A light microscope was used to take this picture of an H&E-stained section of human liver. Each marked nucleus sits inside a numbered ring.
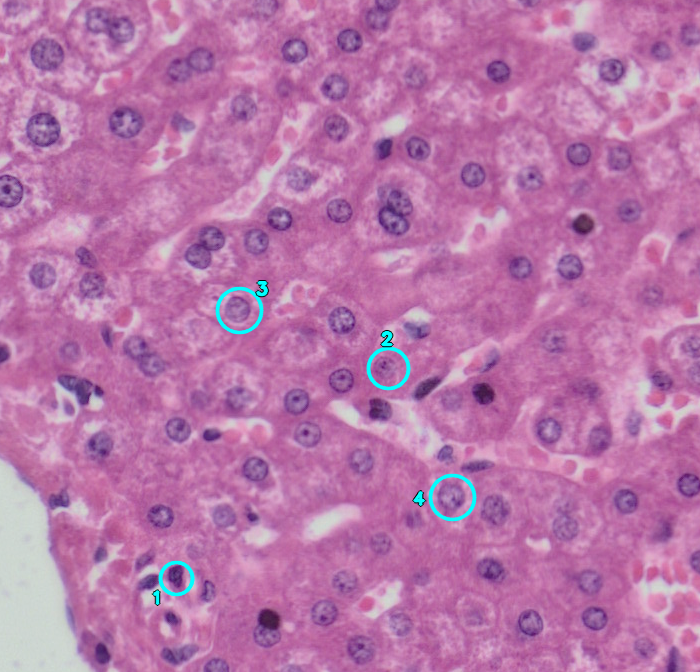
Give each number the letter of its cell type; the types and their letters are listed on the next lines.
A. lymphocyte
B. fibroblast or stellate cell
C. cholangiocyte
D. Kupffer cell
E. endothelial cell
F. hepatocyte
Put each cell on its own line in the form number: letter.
1: B
2: F
3: F
4: F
